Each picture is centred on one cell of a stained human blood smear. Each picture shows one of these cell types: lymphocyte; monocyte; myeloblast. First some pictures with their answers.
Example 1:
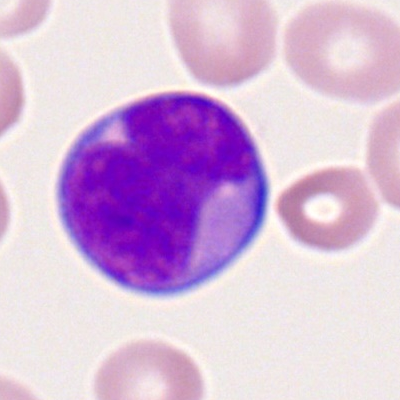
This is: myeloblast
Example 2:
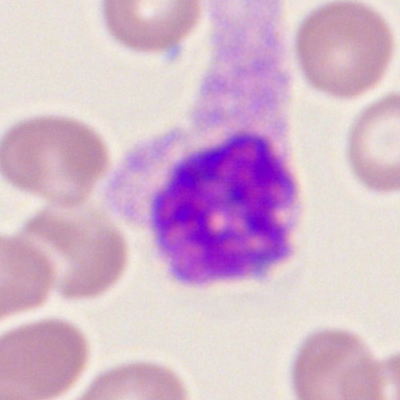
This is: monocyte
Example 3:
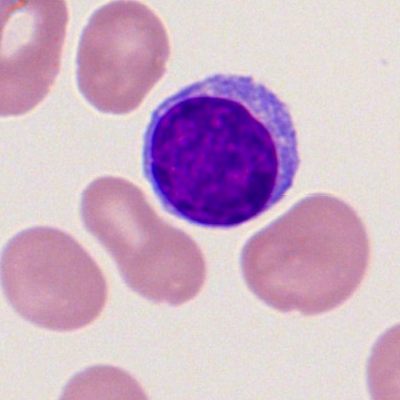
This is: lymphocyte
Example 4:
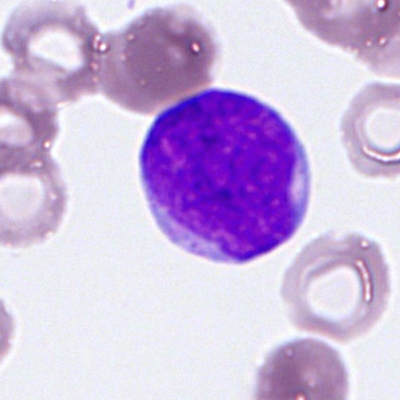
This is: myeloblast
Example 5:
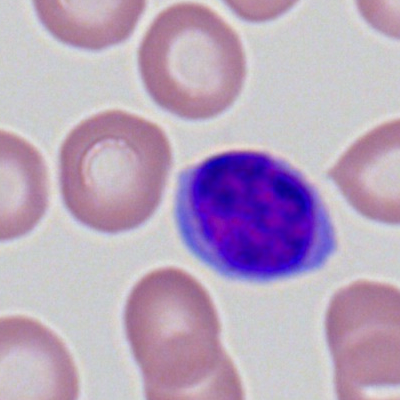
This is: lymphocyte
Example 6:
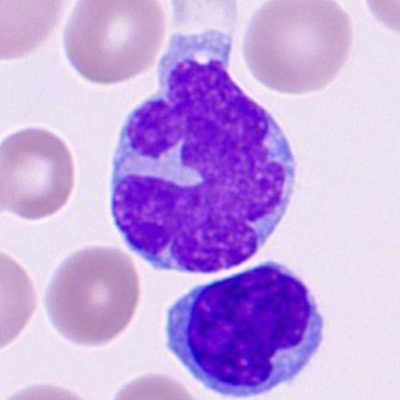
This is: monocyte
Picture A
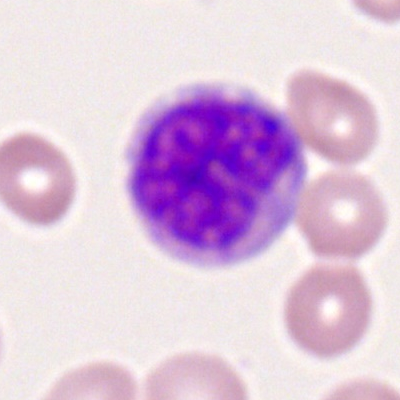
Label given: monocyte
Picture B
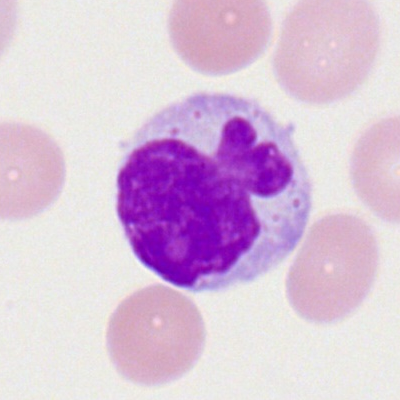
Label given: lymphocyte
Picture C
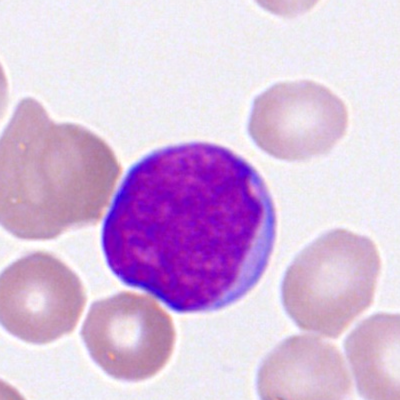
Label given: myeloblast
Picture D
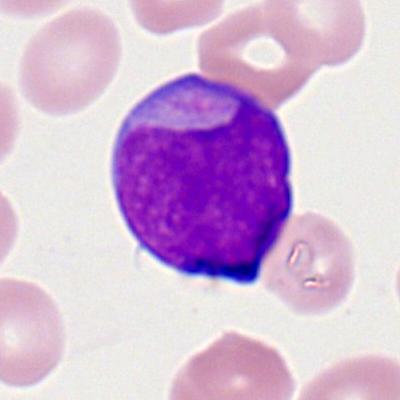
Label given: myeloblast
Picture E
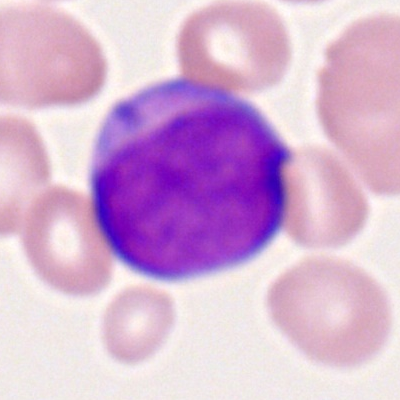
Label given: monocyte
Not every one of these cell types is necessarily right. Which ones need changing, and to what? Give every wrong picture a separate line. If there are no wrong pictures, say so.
E: not monocyte but myeloblast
